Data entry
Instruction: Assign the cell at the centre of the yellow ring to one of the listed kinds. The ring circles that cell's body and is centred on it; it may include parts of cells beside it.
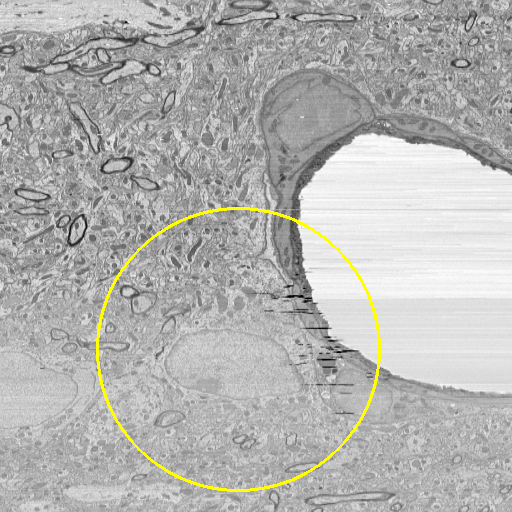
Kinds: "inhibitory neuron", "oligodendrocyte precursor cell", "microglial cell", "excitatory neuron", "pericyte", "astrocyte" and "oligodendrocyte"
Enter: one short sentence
The centre of the ring falls on an astrocyte.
